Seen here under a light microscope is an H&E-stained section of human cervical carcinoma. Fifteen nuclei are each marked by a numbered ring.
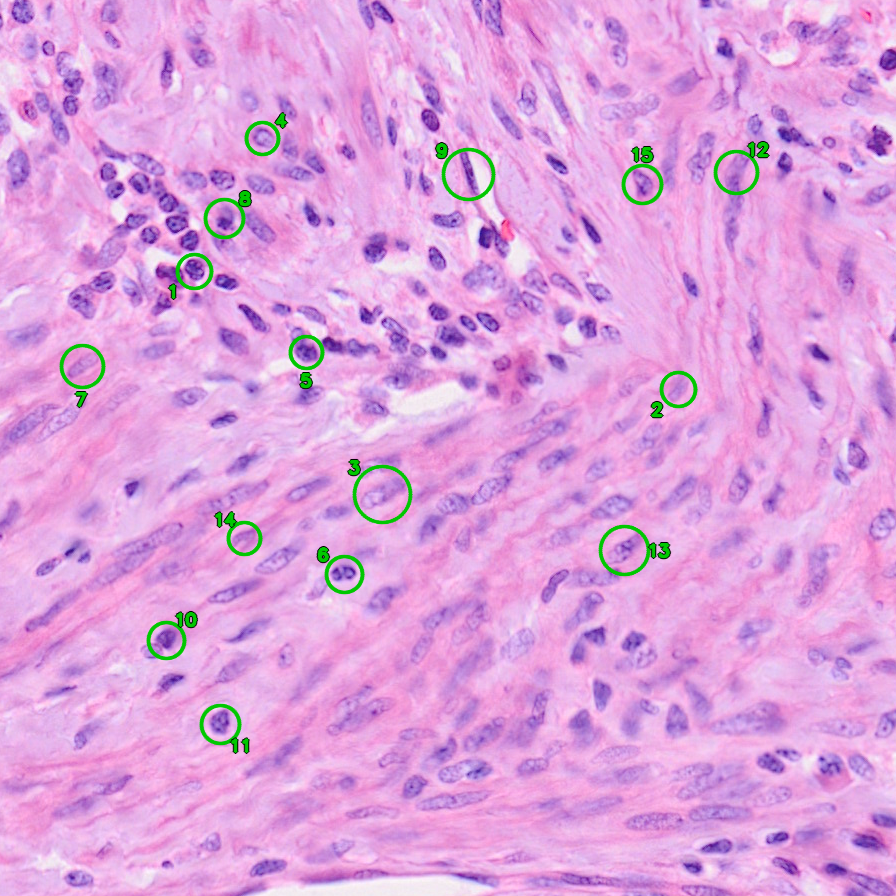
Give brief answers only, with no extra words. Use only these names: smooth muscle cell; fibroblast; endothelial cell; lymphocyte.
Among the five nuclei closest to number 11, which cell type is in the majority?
smooth muscle cell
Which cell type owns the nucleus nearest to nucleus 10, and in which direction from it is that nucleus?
a lymphocyte below and to the left of nucleus 10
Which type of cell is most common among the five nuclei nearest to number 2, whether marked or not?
smooth muscle cell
